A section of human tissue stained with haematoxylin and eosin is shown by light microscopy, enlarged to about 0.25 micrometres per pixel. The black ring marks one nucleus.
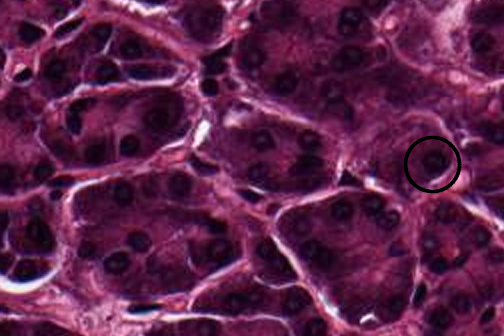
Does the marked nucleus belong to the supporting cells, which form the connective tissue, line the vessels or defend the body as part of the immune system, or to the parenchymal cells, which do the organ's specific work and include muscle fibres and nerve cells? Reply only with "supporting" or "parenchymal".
parenchymal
